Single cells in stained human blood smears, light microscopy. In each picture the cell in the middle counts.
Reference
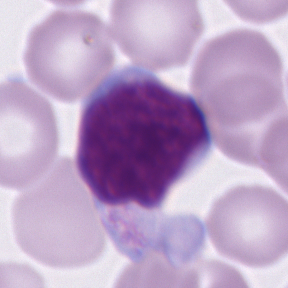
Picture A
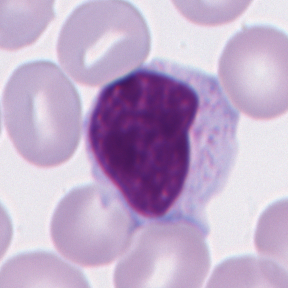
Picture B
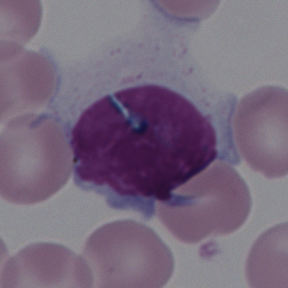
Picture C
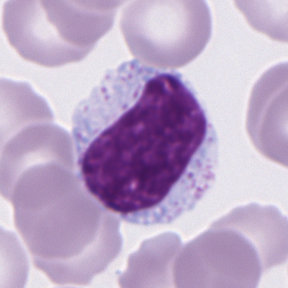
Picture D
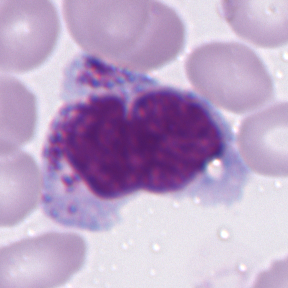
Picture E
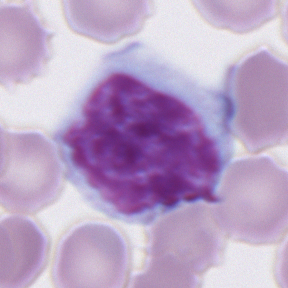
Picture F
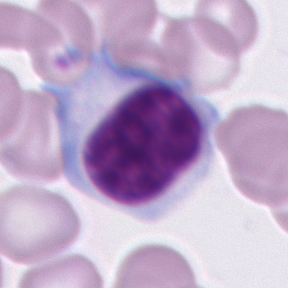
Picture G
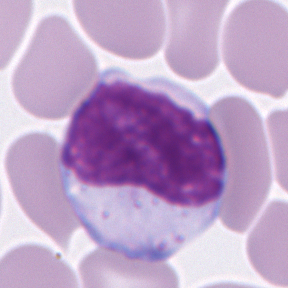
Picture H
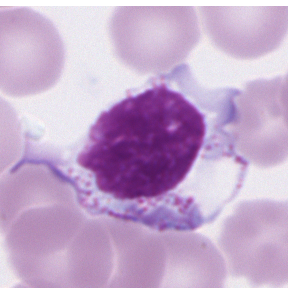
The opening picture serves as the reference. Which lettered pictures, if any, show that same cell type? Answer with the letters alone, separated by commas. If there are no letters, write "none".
A, B, C, D, G, H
